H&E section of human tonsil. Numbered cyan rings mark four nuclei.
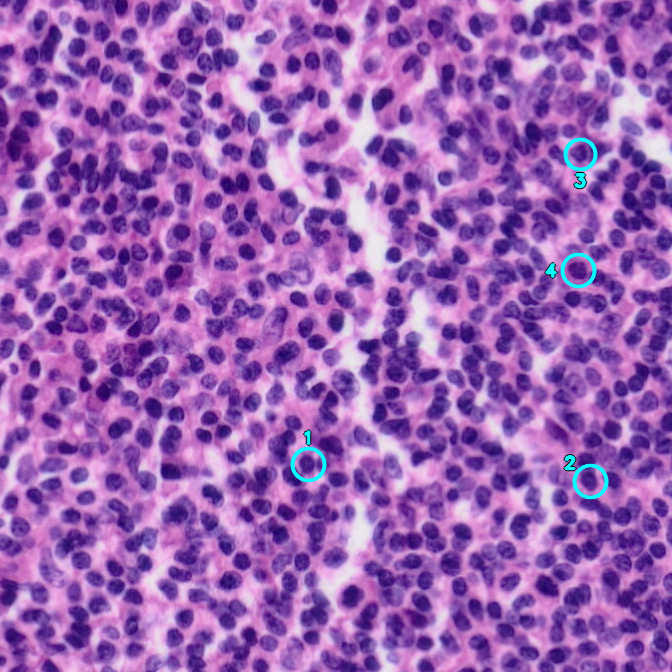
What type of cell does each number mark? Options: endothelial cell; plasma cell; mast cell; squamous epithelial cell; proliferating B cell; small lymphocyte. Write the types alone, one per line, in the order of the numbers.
small lymphocyte
small lymphocyte
small lymphocyte
plasma cell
